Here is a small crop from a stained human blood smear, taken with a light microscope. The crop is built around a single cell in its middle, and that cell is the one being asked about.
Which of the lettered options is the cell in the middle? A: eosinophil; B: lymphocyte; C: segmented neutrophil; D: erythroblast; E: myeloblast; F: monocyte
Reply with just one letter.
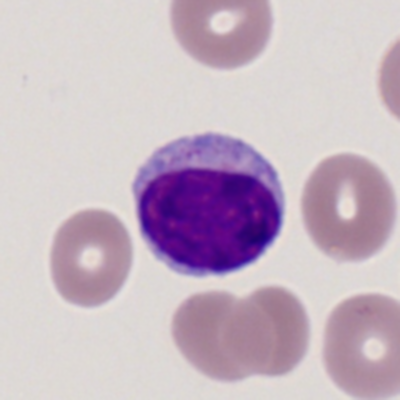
B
